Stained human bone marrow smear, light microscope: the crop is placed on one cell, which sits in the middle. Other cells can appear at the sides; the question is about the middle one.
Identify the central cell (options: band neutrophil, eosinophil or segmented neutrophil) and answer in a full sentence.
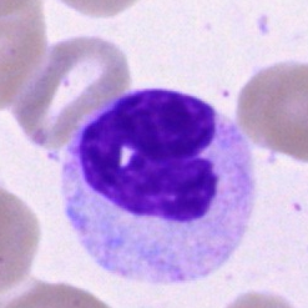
Classified as a segmented neutrophil is the cell in the middle of this crop.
